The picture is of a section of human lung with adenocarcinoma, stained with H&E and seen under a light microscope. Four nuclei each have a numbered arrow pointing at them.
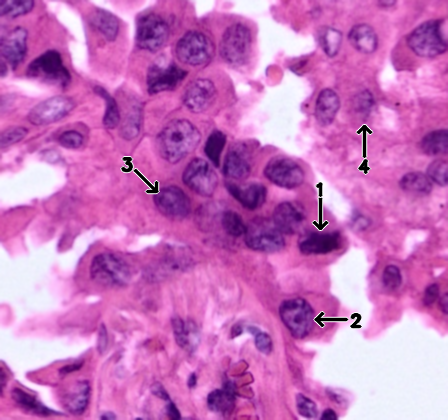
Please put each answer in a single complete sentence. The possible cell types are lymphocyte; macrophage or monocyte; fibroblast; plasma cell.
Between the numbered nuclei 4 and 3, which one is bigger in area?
It is nucleus 3, which covers about 2 times the area of nucleus 4.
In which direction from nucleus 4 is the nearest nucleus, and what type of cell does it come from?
The nearest nucleus is that of a macrophage or monocyte and lies to the left of nucleus 4.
